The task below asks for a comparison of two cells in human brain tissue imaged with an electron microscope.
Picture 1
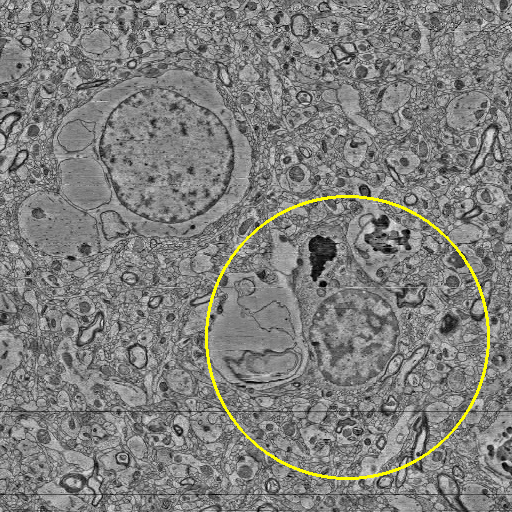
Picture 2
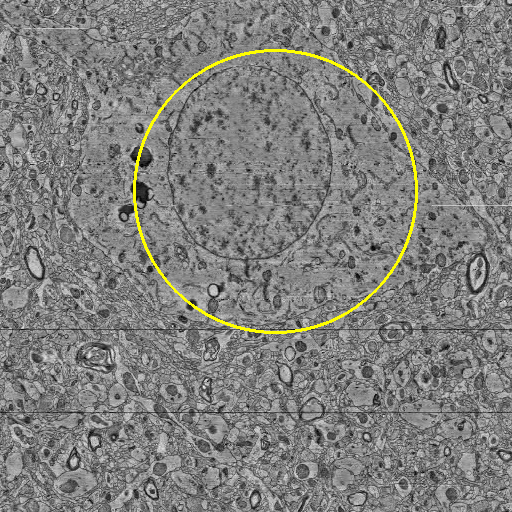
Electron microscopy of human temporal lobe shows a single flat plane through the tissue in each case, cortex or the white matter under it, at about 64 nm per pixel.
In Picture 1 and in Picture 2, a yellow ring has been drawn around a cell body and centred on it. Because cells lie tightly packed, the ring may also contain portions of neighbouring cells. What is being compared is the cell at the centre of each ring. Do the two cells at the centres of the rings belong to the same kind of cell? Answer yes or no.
no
